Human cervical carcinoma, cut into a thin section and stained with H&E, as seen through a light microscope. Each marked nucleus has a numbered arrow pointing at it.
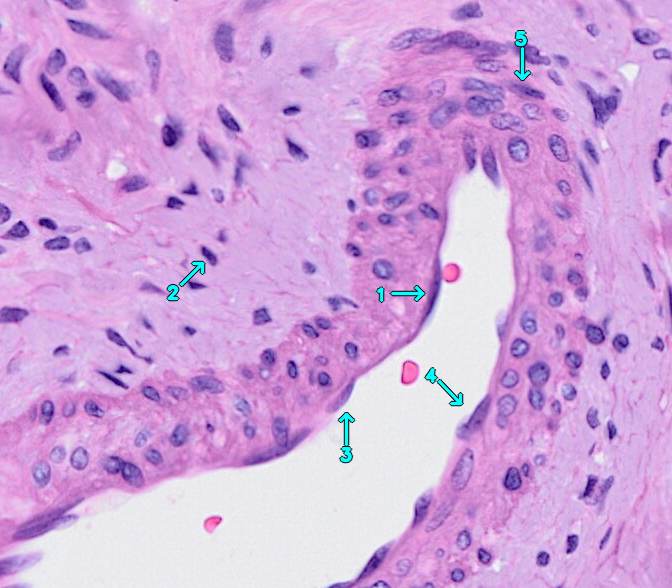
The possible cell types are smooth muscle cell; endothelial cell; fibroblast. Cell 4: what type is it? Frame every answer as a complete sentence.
The nucleus labeled 4 belongs to an endothelial cell.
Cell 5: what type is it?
The cell indicated with the number 5 is classed as a smooth muscle cell.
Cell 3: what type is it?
The cell referenced by the number 3 is an endothelial cell in this field.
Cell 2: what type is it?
The correct answer for cell 2 is a fibroblast.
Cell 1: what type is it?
The cell that goes by number 1 is an endothelial cell.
